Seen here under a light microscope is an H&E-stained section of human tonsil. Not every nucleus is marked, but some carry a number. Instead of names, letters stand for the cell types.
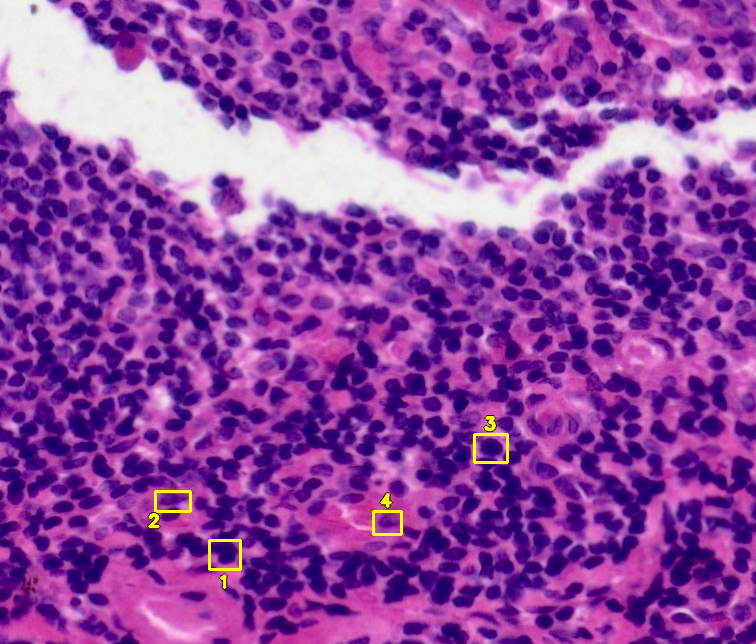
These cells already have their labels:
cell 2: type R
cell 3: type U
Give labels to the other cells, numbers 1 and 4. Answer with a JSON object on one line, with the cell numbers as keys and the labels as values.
{"1": "type U", "4": "type R"}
